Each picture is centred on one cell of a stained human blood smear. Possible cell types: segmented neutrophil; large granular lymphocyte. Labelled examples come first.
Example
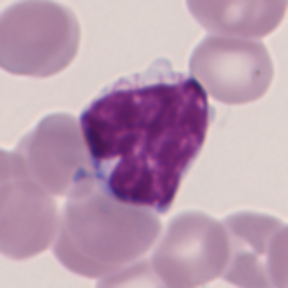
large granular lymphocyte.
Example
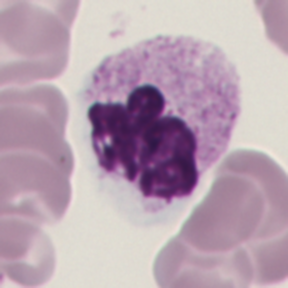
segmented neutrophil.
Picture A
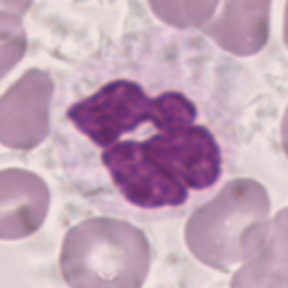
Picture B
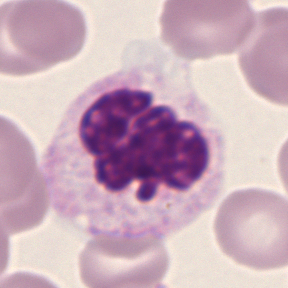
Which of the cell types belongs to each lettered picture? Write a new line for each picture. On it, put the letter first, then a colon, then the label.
A: segmented neutrophil.
B: segmented neutrophil.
